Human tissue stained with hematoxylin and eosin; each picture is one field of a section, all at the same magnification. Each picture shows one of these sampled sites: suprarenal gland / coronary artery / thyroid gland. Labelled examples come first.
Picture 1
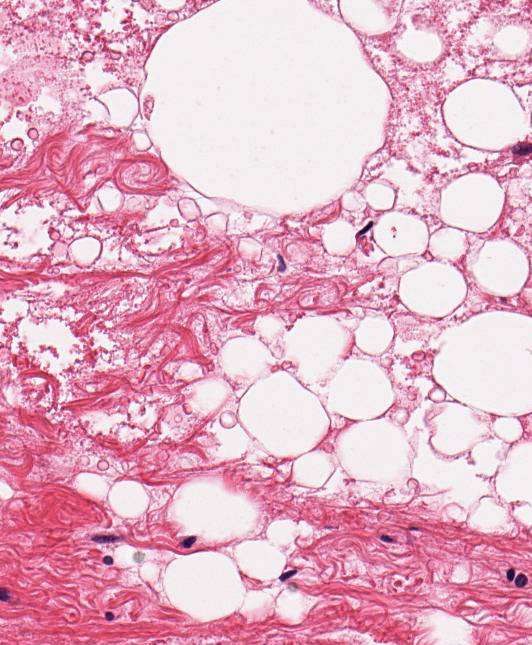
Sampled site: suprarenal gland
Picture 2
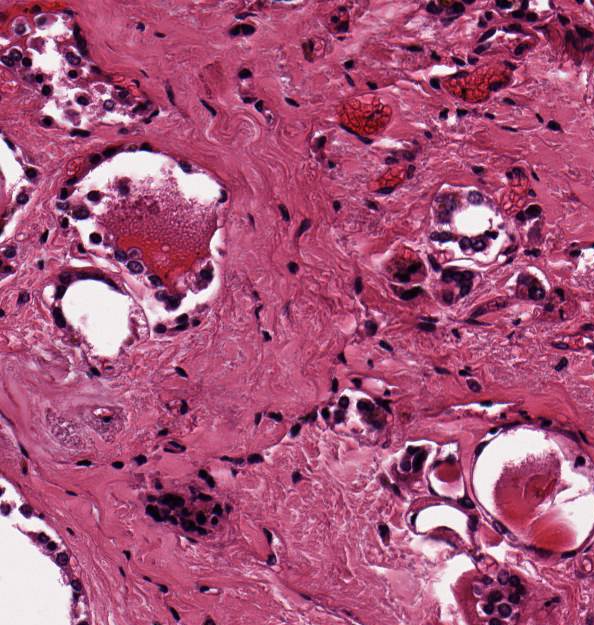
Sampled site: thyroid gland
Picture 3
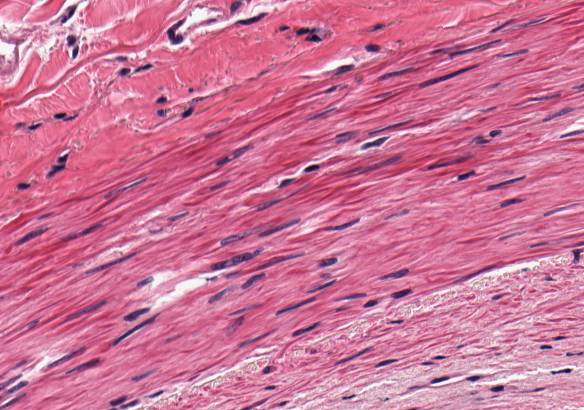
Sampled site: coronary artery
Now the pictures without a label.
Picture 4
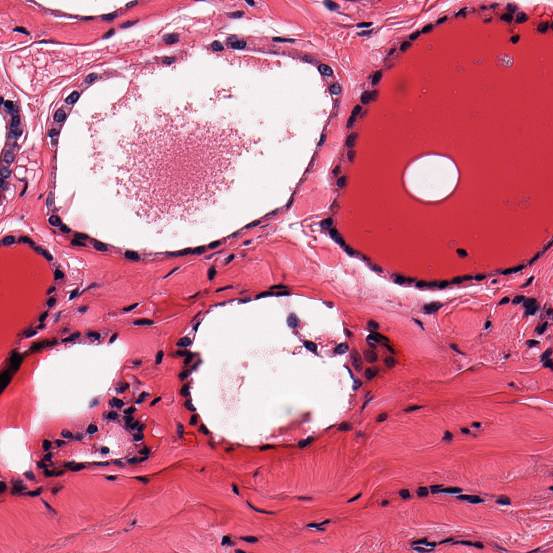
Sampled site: thyroid gland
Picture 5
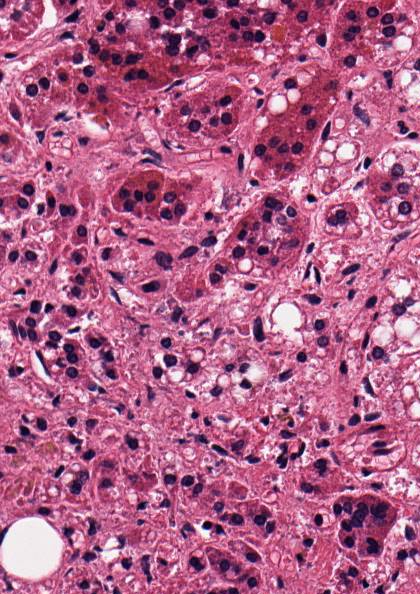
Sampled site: suprarenal gland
